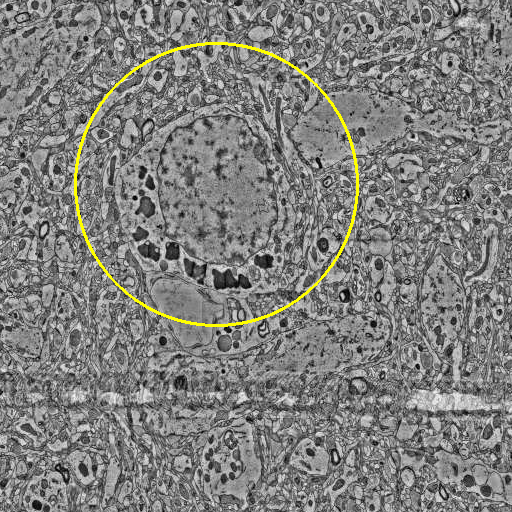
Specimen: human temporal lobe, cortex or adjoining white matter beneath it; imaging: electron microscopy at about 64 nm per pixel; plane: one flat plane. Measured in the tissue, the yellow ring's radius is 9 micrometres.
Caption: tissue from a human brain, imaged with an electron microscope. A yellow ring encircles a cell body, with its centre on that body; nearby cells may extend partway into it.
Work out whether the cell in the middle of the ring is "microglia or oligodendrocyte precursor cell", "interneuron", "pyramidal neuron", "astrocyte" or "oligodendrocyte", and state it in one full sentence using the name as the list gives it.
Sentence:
In the picture, the cell that the yellow ring surrounds at its centre is an interneuron.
